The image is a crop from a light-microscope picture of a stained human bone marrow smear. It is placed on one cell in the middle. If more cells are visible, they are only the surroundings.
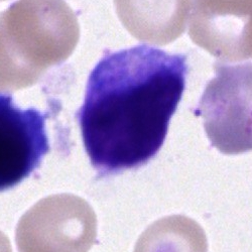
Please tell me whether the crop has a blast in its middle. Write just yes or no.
no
